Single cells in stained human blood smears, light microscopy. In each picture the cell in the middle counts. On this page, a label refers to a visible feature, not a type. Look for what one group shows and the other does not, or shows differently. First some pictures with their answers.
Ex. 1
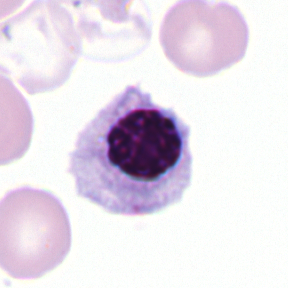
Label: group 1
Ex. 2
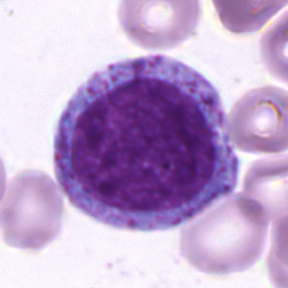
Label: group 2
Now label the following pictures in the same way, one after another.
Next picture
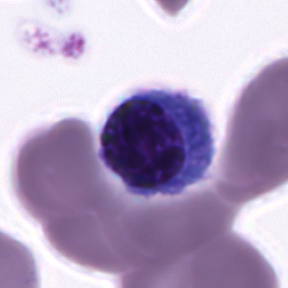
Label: group 2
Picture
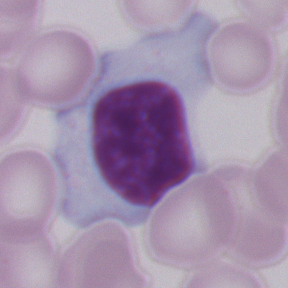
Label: group 1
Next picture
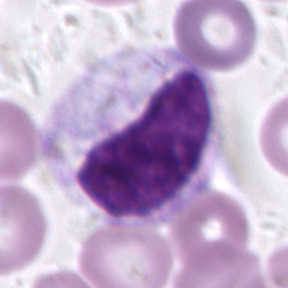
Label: group 1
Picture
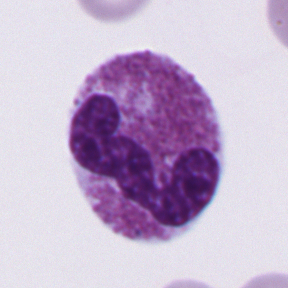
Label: group 1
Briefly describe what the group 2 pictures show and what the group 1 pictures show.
group 2: scant cytoplasm; group 1: abundant cytoplasm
